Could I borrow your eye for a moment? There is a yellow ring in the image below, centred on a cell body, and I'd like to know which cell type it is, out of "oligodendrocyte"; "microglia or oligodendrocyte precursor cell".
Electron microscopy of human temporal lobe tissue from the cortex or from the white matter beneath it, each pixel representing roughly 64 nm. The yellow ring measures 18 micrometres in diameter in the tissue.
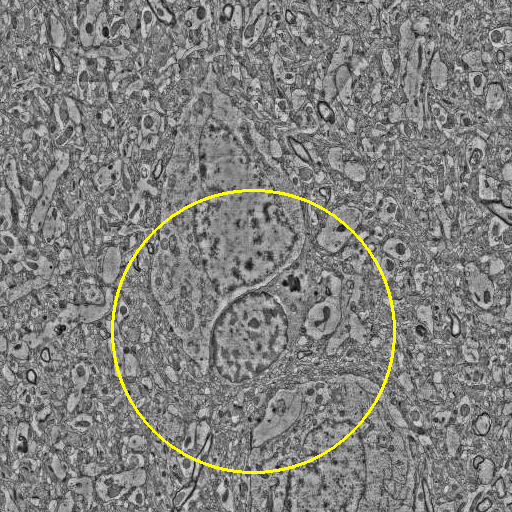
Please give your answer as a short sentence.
The cell body at the centre is that of an oligodendrocyte.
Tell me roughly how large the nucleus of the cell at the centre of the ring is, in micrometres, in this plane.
In this plane, roughly 6 by 5 micrometres.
